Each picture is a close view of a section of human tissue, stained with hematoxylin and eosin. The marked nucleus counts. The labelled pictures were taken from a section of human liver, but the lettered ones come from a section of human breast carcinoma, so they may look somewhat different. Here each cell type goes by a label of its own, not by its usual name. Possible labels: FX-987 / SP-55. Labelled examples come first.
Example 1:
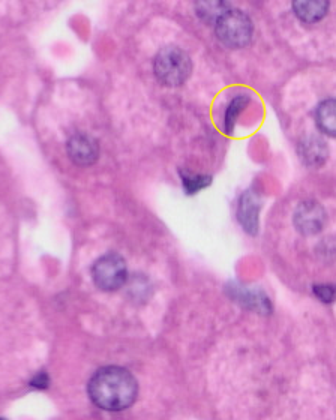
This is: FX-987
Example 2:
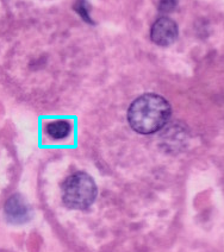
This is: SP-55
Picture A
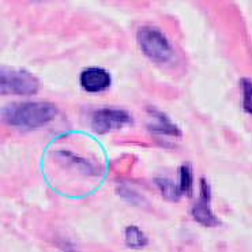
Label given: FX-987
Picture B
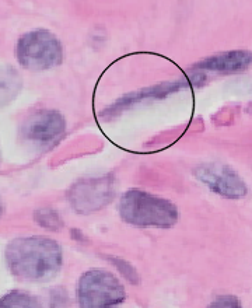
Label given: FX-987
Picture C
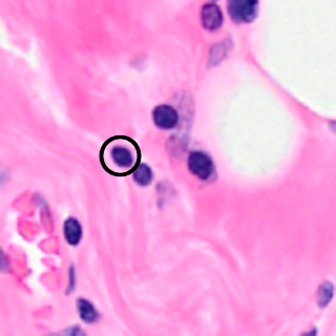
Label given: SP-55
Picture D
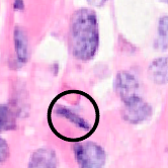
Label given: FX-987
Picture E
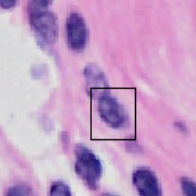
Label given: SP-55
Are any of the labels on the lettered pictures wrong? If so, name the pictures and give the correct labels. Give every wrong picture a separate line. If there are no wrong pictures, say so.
Nothing to fix; every label fits.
